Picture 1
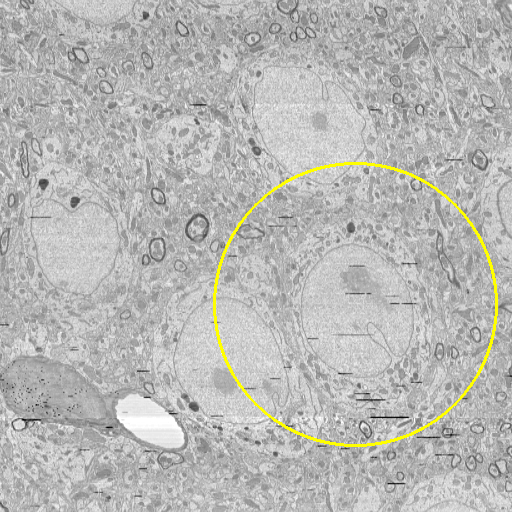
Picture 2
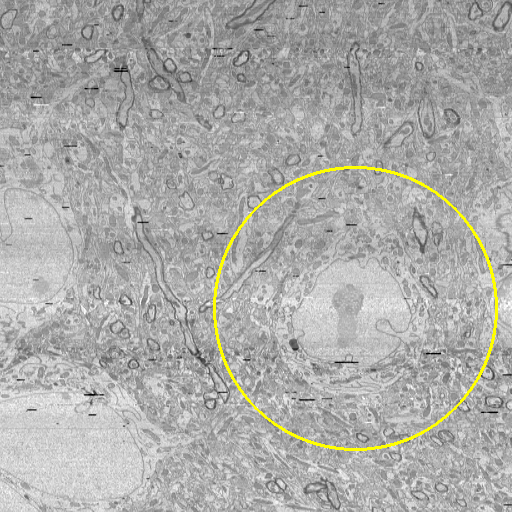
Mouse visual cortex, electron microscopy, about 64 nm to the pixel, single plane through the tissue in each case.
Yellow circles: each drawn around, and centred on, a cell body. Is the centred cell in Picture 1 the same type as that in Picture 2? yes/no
yes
